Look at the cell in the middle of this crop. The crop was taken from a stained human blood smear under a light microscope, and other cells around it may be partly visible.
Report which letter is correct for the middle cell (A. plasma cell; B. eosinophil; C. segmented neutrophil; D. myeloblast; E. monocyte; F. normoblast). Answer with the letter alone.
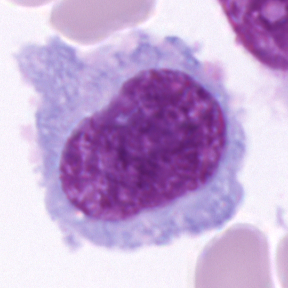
A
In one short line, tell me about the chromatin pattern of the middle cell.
Heads up, the chromatin is fine with no coarse clumps in it.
